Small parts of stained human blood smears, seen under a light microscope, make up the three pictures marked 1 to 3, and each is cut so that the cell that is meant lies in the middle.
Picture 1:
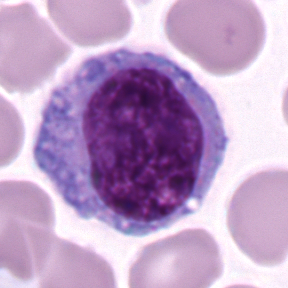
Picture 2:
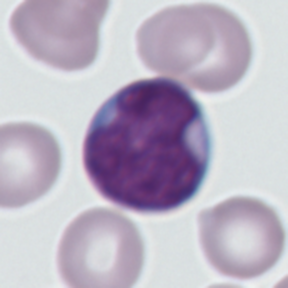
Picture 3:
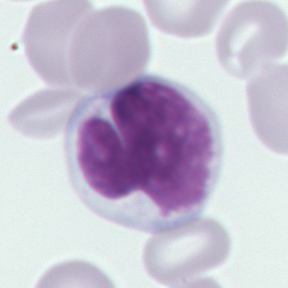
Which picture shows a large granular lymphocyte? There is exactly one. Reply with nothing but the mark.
3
